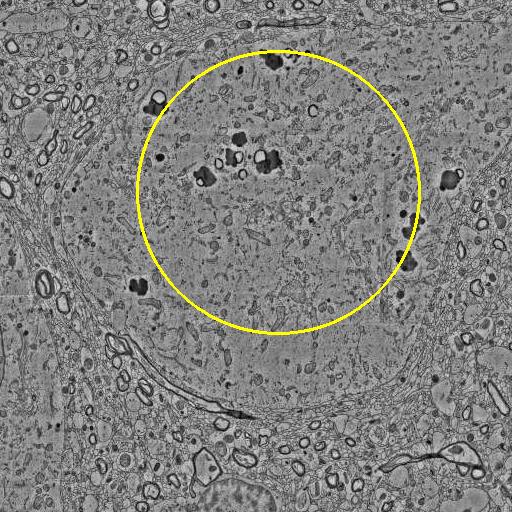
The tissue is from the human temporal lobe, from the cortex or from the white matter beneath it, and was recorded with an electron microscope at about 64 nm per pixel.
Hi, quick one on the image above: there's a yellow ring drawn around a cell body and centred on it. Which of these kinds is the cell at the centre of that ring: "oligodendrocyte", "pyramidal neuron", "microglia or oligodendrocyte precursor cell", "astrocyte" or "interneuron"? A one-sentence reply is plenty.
The cell at the centre of the ring is a pyramidal neuron.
